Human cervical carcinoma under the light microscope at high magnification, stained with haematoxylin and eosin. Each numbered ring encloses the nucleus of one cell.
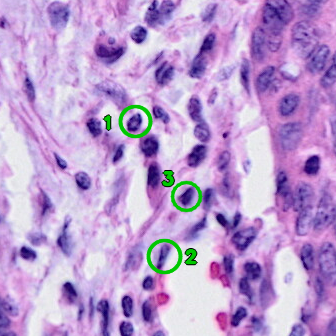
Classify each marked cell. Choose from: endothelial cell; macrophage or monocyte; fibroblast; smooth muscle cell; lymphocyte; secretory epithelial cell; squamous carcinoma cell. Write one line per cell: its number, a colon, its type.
1: lymphocyte
2: endothelial cell
3: lymphocyte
